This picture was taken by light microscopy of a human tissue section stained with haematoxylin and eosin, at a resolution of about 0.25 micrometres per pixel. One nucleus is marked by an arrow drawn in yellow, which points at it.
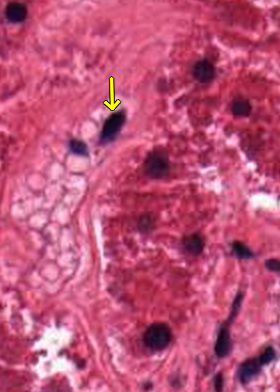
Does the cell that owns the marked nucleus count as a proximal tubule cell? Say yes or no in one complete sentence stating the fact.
No, the marked nucleus is to be assigned to a supporting cell, not to a proximal tubule cell.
